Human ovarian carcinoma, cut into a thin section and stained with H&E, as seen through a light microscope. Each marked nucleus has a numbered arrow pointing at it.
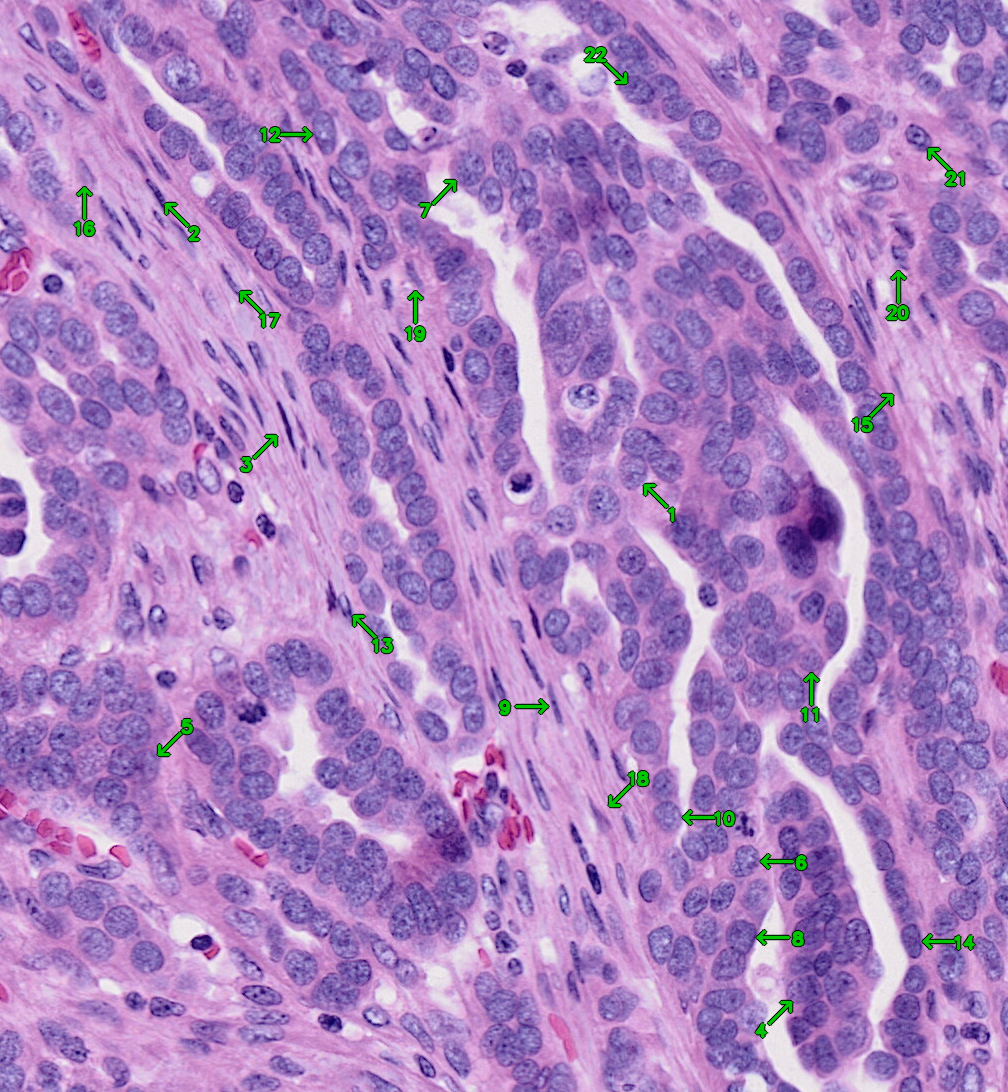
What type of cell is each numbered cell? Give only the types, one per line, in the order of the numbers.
carcinoma cell
fibroblast
fibroblast
carcinoma cell
carcinoma cell
carcinoma cell
carcinoma cell
carcinoma cell
fibroblast
carcinoma cell
carcinoma cell
carcinoma cell
fibroblast
carcinoma cell
fibroblast
fibroblast
fibroblast
fibroblast
fibroblast
fibroblast
macrophage or monocyte
carcinoma cell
